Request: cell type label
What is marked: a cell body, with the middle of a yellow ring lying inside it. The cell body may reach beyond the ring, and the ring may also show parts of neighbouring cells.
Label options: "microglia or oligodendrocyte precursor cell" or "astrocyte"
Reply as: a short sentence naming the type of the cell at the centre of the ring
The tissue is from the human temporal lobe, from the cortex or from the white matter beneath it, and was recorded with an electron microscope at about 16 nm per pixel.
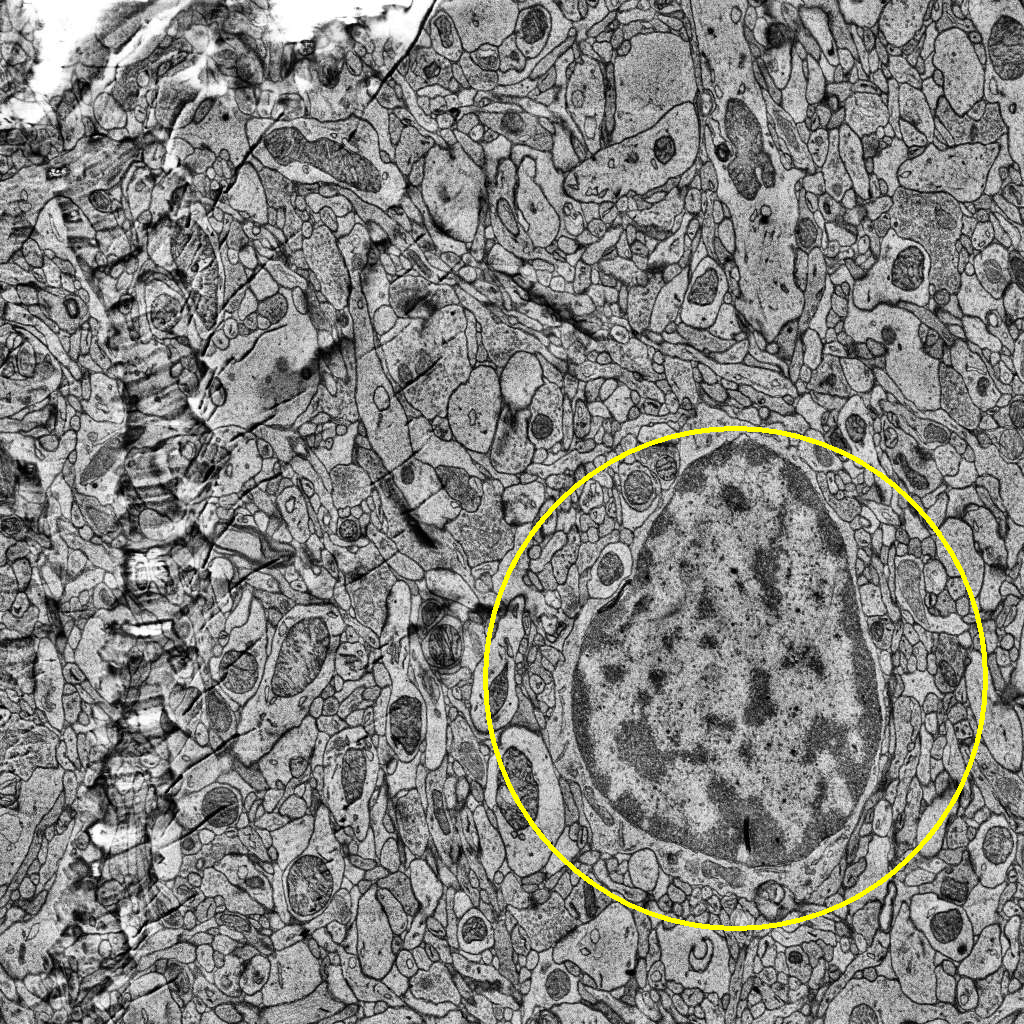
The marked cell body is that of a microglial cell or oligodendrocyte precursor cell.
